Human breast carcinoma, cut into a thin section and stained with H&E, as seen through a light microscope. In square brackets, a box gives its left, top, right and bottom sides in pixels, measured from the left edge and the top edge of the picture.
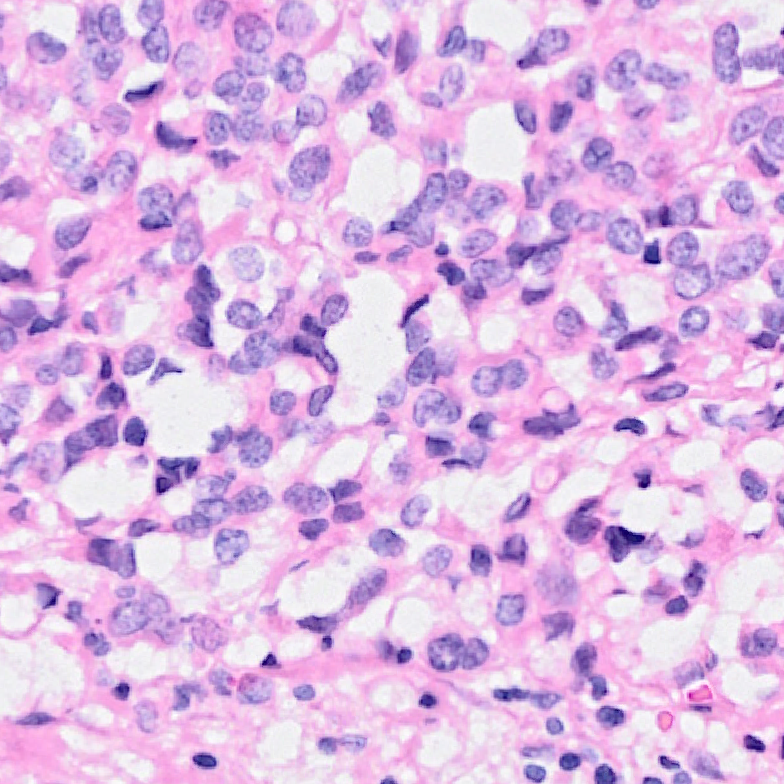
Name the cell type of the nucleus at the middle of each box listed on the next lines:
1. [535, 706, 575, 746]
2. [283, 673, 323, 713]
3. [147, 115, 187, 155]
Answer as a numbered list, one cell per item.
1. lymphocyte
2. lymphocyte
3. carcinoma cell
